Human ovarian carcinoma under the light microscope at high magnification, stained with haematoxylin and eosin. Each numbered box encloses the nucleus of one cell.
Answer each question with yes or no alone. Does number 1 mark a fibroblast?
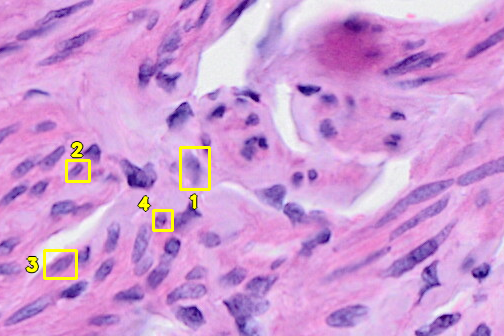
yes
